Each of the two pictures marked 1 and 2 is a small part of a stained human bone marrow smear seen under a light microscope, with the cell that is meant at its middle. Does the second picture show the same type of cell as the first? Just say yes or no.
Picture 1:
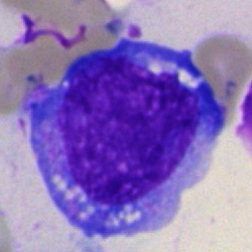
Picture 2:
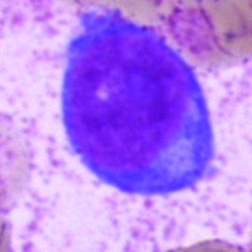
yes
